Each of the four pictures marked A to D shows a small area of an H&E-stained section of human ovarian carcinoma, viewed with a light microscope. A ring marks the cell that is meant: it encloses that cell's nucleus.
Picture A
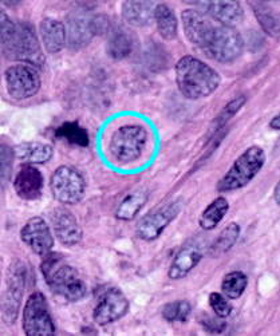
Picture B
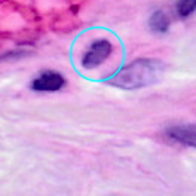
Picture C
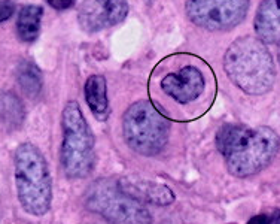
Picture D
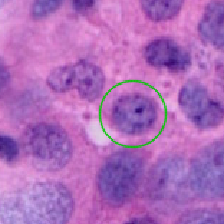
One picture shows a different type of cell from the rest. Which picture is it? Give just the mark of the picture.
B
